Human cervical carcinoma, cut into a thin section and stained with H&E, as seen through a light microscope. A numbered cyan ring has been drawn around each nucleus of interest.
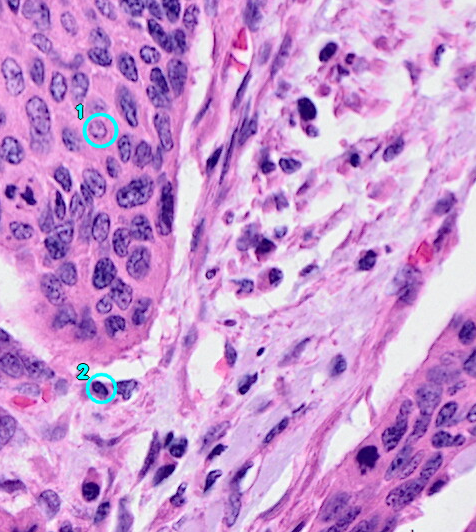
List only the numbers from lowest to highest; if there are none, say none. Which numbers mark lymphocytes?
2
